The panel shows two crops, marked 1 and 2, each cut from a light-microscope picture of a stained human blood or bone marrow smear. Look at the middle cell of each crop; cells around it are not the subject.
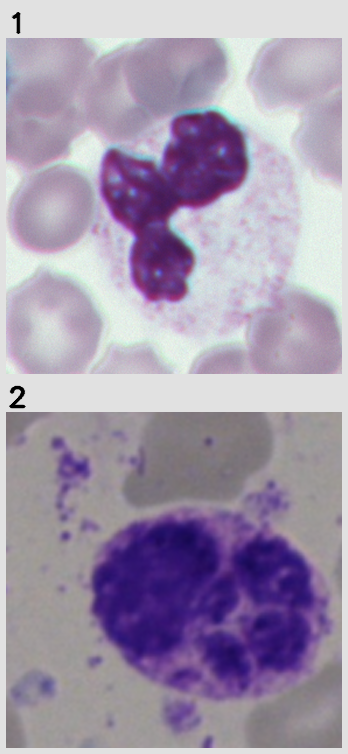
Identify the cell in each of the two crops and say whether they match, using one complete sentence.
No, a segmented neutrophil is depicted by crop 1, a basophil by crop 2.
